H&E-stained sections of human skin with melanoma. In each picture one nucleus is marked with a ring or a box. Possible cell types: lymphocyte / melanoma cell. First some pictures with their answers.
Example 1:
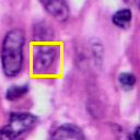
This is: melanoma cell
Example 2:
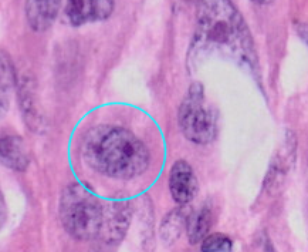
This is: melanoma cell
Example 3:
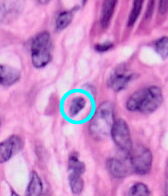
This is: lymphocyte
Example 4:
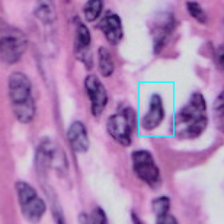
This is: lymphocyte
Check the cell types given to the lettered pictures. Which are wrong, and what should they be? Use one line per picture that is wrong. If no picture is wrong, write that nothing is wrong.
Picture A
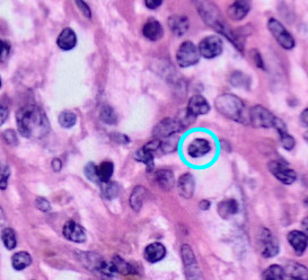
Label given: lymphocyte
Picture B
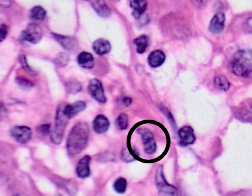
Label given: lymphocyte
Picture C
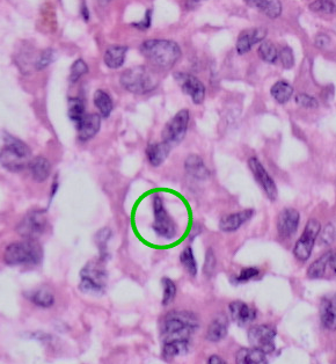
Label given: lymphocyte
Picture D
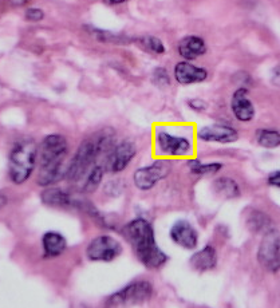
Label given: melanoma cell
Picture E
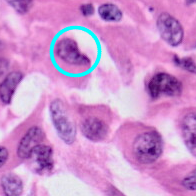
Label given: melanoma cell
C is labelled lymphocyte; correct label: melanoma cell
D is labelled melanoma cell; correct label: lymphocyte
